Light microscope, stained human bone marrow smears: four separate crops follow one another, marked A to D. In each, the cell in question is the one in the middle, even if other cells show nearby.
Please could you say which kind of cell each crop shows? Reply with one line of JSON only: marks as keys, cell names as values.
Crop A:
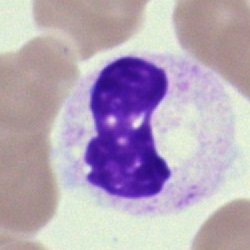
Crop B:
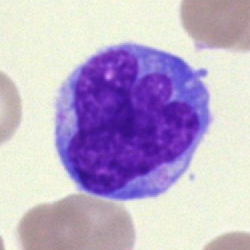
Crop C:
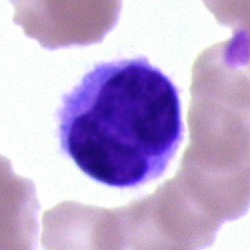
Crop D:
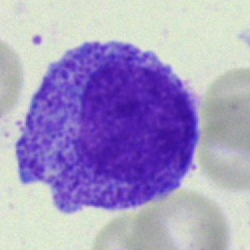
{"A": "band neutrophil", "B": "monocyte", "C": "hairy cell", "D": "promyelocyte"}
